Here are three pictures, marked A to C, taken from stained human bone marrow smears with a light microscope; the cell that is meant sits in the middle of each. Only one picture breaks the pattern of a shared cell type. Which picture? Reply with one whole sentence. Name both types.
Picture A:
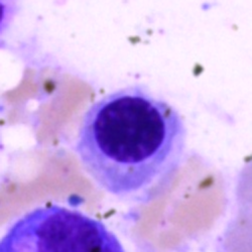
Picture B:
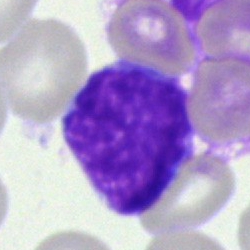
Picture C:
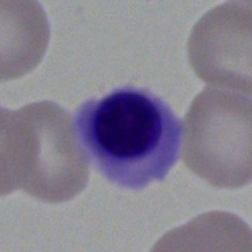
The others show erythroblasts, but picture B shows a blast.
